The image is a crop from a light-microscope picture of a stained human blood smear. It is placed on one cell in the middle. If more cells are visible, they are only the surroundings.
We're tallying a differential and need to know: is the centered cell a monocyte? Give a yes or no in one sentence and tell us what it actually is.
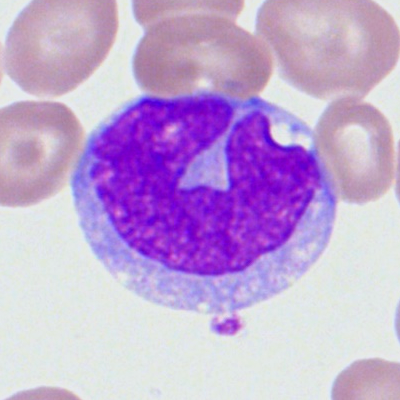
Yes, the cell lying in the centre of the crop is identified as a monocyte.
